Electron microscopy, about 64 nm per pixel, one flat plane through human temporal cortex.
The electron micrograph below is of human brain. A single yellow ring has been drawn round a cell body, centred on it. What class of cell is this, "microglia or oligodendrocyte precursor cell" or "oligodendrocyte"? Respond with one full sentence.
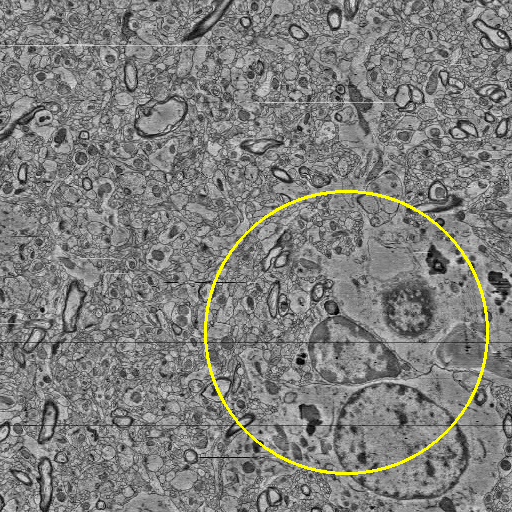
In the micrograph, the cell centred inside the yellow ring is a microglial cell or oligodendrocyte precursor cell.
